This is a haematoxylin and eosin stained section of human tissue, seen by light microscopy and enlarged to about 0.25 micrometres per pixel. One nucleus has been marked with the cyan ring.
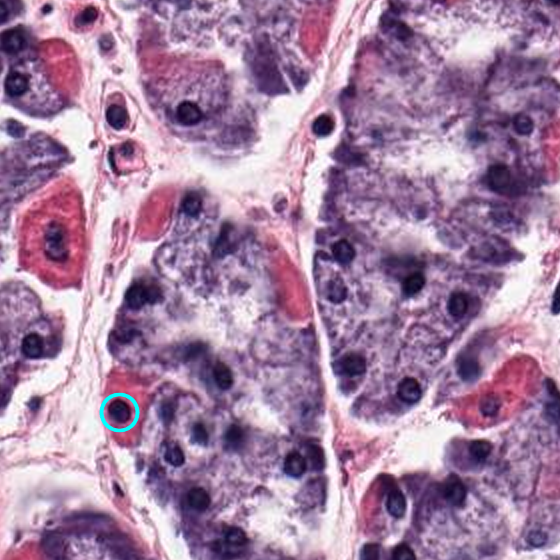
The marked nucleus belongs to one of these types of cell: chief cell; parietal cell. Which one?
parietal cell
